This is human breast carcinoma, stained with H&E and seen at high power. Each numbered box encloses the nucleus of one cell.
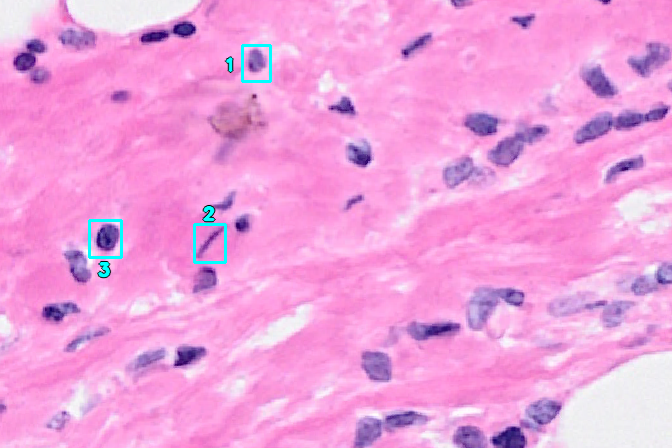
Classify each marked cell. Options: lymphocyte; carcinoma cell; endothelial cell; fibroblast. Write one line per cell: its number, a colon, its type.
1: lymphocyte
2: fibroblast
3: lymphocyte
